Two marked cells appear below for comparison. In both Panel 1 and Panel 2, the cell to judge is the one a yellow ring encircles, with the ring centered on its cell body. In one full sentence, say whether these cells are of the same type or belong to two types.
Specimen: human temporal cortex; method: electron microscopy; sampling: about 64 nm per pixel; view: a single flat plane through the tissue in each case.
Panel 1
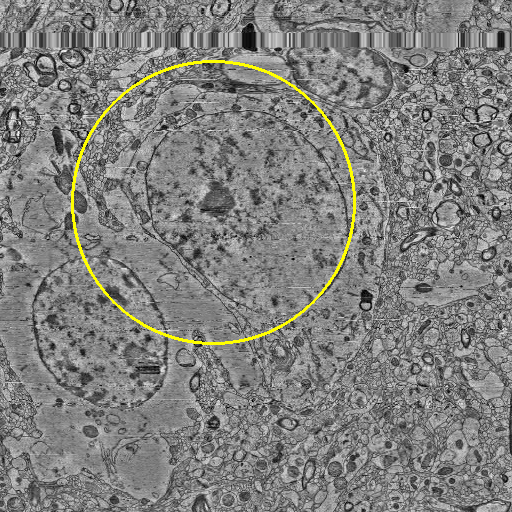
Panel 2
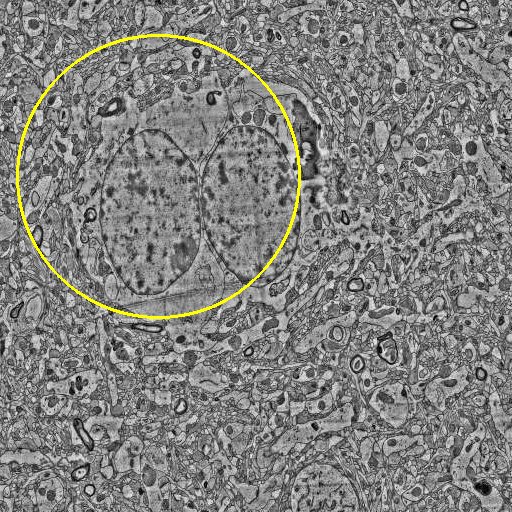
The cell centered in the Panel 1 ring and the one in Panel 2 belong to two types.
